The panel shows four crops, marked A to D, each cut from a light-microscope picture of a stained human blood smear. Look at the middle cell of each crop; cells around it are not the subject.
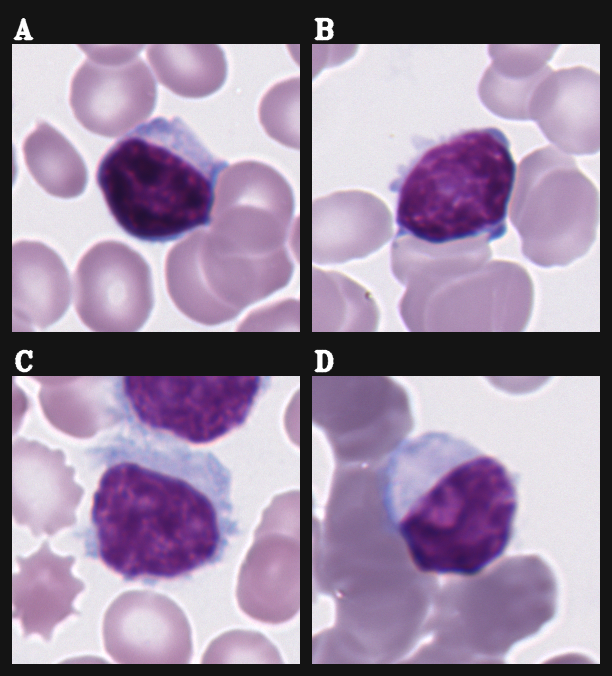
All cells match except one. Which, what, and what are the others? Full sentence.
Crop C differs, its cell being a hairy cell, whereas the other crops show typical lymphocytes.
